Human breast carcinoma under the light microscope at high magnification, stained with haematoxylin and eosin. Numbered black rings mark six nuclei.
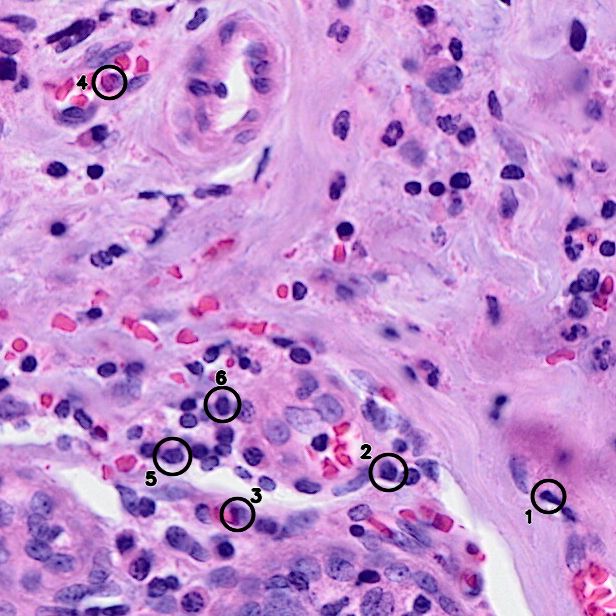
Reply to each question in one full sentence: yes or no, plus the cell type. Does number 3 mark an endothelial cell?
Yes, in this section the cell numbered 3 is an endothelial cell.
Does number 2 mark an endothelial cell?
No, cell number 2 is a lymphocyte; it is not an endothelial cell.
